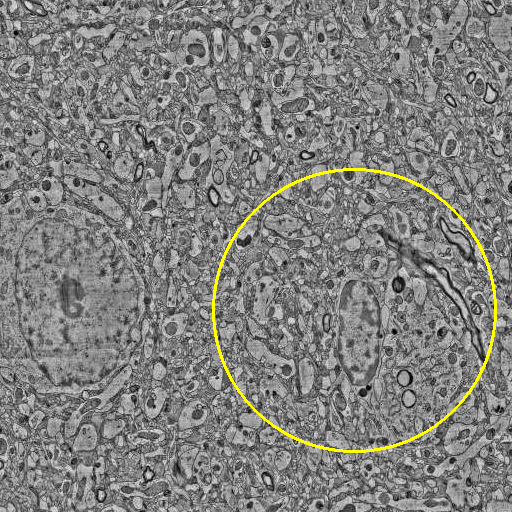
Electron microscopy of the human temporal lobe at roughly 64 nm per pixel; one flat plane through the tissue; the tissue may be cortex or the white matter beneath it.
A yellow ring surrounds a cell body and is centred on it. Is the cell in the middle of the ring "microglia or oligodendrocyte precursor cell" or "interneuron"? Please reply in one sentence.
The ring is centred on a microglial cell or oligodendrocyte precursor cell.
